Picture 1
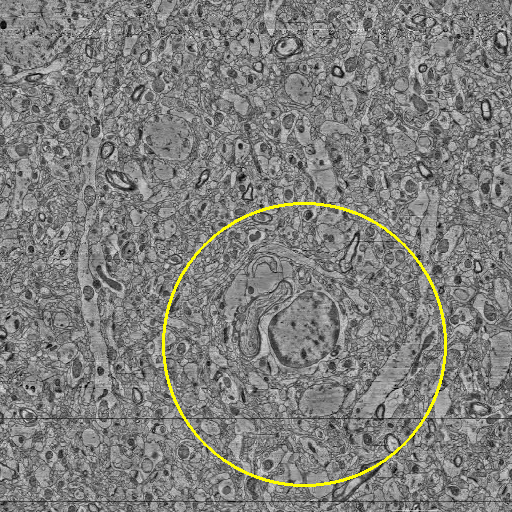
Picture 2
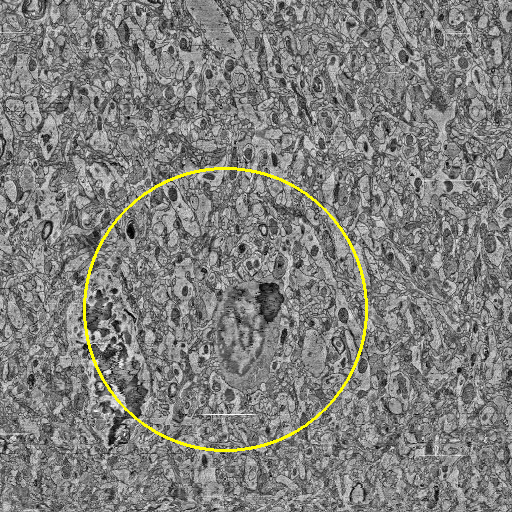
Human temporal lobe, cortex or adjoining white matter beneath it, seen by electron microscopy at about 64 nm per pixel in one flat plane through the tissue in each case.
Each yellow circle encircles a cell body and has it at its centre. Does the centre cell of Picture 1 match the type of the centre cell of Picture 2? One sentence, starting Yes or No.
No, the cell centred in Picture 1 and the one in Picture 2 have separate types.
